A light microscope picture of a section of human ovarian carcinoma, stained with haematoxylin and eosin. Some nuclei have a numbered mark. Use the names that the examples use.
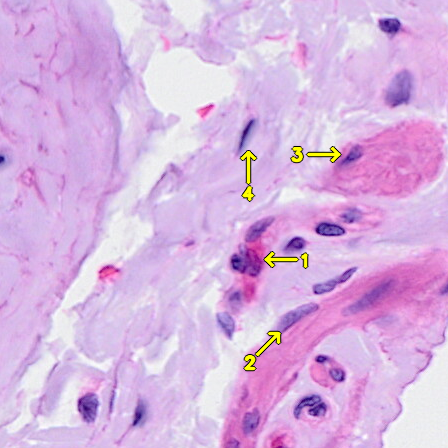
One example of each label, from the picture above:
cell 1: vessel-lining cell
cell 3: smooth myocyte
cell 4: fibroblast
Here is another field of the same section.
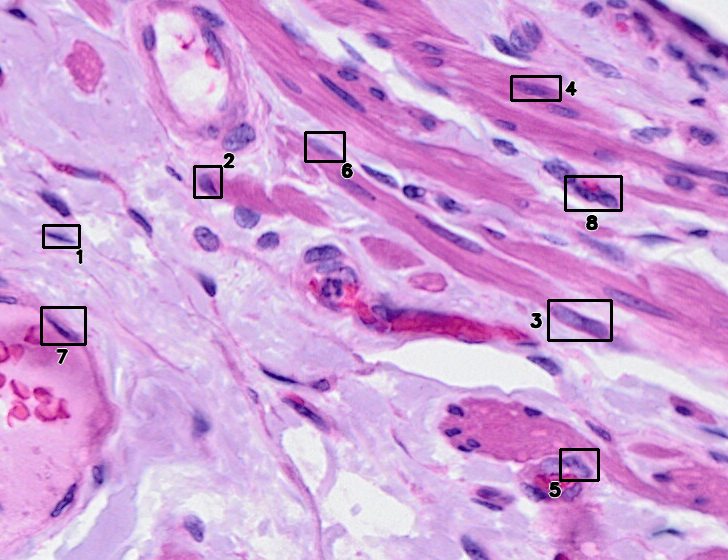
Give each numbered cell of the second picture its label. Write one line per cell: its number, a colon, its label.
1: fibroblast
2: smooth myocyte
3: smooth myocyte
4: smooth myocyte
5: vessel-lining cell
6: smooth myocyte
7: vessel-lining cell
8: vessel-lining cell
